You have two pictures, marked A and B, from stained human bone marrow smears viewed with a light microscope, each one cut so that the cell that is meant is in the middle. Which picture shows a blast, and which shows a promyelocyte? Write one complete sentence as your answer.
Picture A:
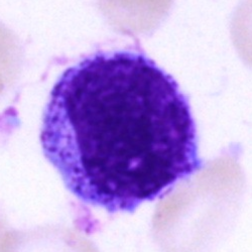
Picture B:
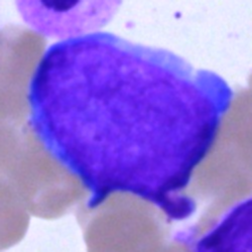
It is picture A that shows a promyelocyte, and picture B that shows a blast.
